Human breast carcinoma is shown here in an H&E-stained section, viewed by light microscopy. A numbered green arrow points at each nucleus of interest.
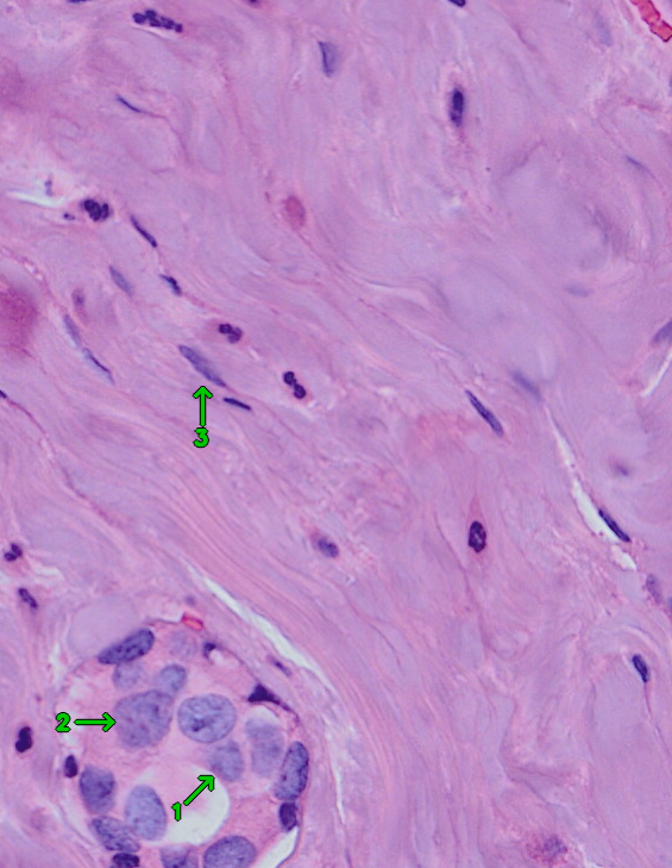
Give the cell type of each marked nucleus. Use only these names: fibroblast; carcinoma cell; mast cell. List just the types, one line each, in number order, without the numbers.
carcinoma cell
carcinoma cell
fibroblast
